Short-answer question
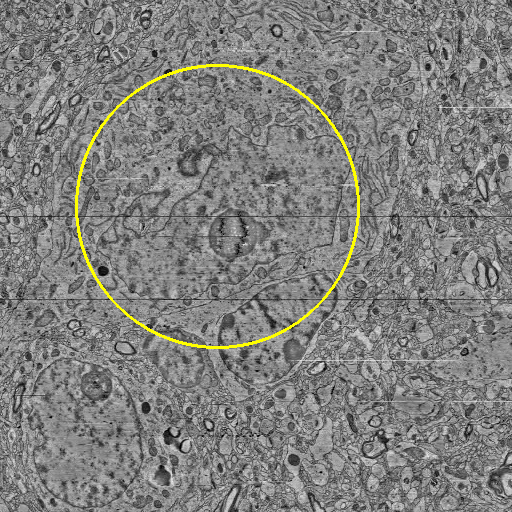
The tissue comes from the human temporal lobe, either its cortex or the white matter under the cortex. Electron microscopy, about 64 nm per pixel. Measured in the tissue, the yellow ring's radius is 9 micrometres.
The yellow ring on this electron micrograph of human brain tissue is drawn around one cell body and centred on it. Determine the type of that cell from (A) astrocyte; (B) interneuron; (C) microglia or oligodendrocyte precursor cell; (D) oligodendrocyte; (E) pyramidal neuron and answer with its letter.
B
